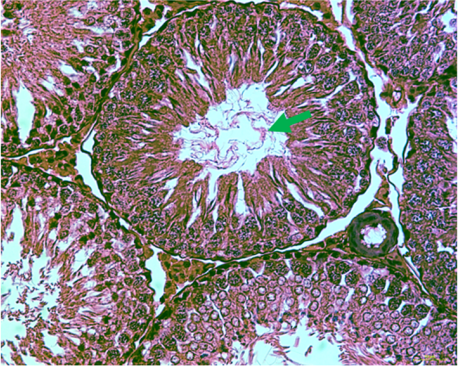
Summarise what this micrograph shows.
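A cross-section of a seminiferous tubule of the testis fills the middle, surrounded by parts of neighbouring tubules and thin interstitial tissue. The epithelium is many cells thick: near the thin wall lie small cells with dark nuclei, above them larger rounded cells with purple-stained nuclei, and toward the centre many elongated, dark, rod-like sperm heads arranged in radial bundles. Pale pink tails stream from these bundles into the central lumen, which forms a pale, wispy space. Between tubules are narrow gaps with flattened cells and a small blood vessel in cross-section at lower right.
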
